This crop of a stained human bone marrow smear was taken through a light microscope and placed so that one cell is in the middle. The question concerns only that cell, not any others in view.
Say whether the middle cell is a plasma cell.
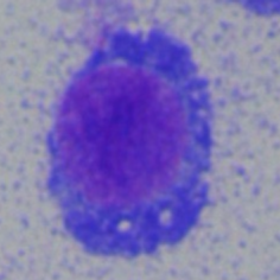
yes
